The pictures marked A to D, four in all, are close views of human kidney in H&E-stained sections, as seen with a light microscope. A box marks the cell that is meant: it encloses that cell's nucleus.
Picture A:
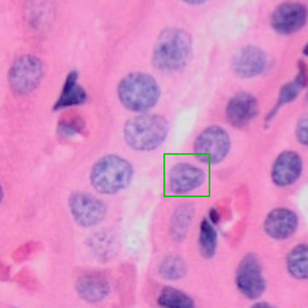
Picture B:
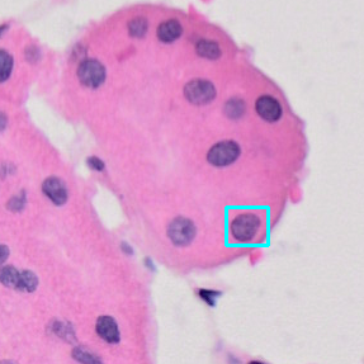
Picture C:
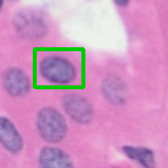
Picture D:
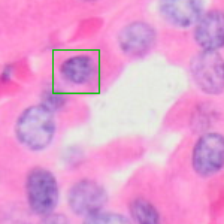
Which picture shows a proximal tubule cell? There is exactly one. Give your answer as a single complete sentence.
It is picture B that shows the proximal tubule cell.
